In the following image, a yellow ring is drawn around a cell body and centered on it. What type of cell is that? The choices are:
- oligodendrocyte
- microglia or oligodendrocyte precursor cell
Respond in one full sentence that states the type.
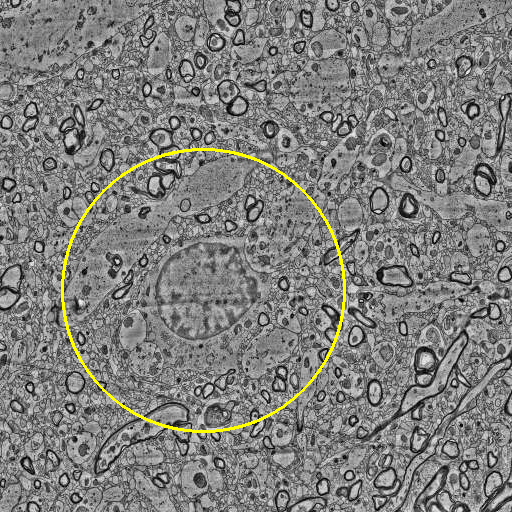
The cell at the center of the yellow ring in the image is an oligodendrocyte.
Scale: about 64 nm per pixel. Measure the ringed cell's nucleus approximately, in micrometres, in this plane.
In this plane the ringed cell's nucleus is roughly 7 micrometres across.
